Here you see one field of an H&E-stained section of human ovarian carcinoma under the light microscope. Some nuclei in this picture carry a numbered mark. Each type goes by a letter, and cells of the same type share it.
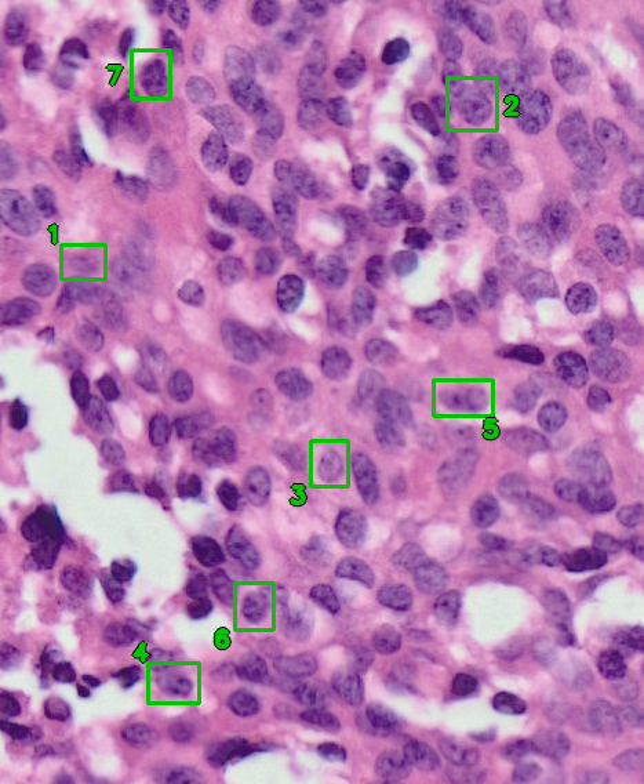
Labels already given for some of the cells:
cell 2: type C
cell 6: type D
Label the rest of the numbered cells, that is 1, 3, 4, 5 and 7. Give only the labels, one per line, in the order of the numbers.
type C
type D
type D
type D
type C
